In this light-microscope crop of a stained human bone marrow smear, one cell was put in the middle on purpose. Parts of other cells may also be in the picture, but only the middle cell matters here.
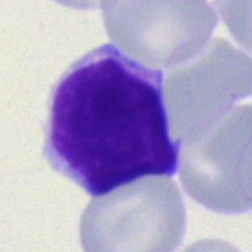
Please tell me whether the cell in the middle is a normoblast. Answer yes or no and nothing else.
no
